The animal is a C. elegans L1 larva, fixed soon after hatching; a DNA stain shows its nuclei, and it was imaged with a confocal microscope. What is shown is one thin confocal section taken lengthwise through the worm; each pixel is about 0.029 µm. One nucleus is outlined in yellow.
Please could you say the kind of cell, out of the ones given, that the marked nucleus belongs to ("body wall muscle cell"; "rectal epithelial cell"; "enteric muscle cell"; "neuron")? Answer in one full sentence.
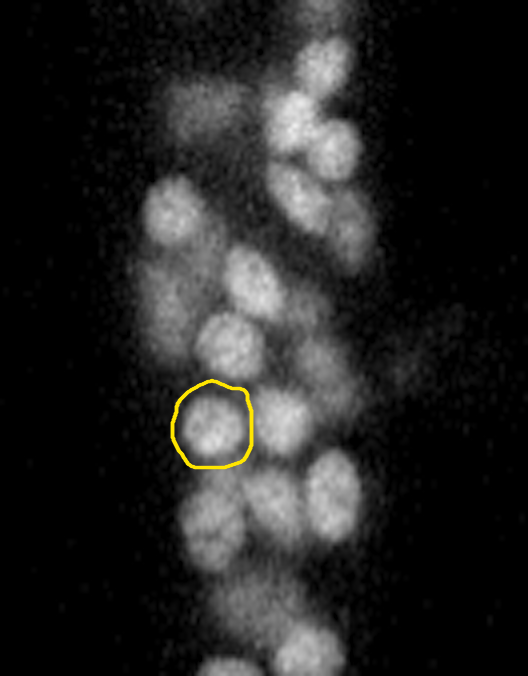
This nucleus is from an enteric muscle cell.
